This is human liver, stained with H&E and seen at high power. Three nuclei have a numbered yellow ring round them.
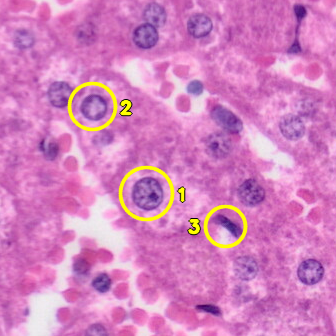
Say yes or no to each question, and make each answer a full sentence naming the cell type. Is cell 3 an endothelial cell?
Yes, the cell given number 3 is an endothelial cell.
